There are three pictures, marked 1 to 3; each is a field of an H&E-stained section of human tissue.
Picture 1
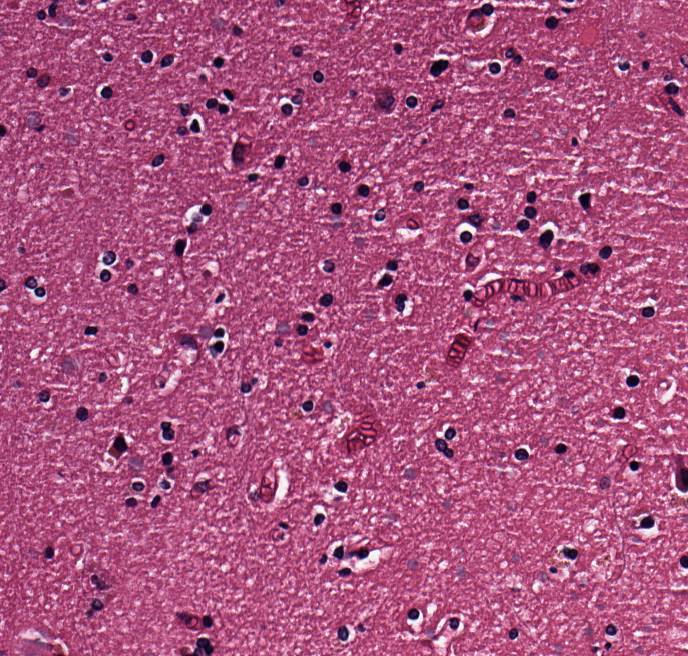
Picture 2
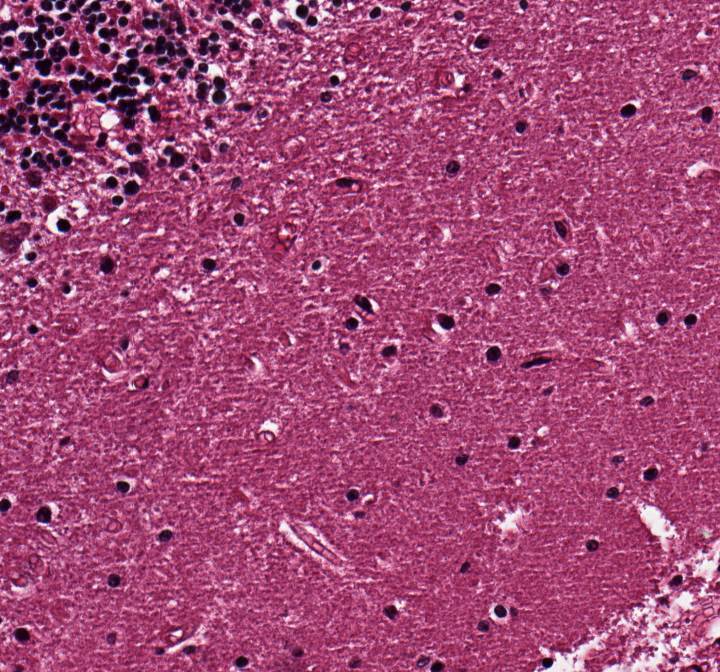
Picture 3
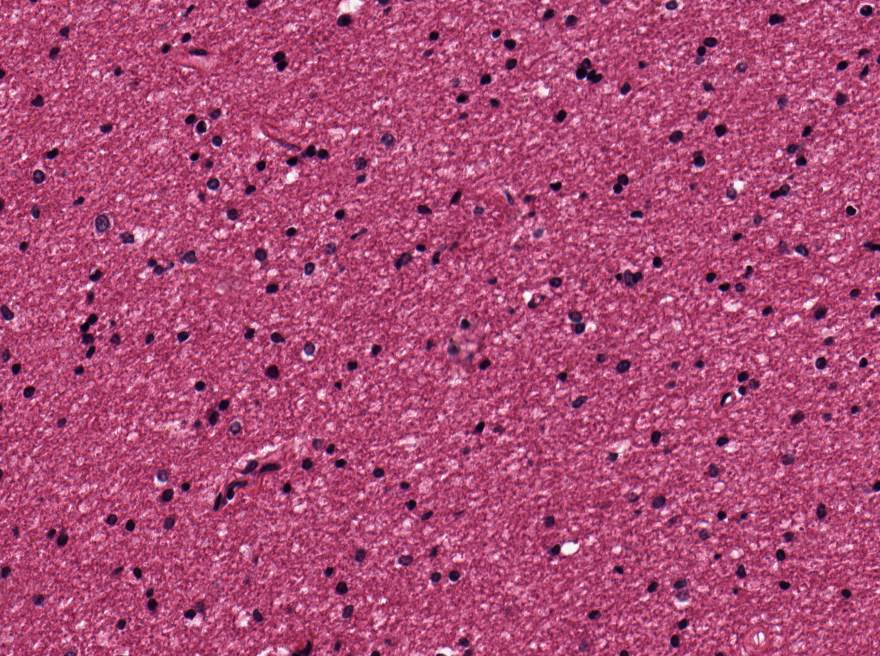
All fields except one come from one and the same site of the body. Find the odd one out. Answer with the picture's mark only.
2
